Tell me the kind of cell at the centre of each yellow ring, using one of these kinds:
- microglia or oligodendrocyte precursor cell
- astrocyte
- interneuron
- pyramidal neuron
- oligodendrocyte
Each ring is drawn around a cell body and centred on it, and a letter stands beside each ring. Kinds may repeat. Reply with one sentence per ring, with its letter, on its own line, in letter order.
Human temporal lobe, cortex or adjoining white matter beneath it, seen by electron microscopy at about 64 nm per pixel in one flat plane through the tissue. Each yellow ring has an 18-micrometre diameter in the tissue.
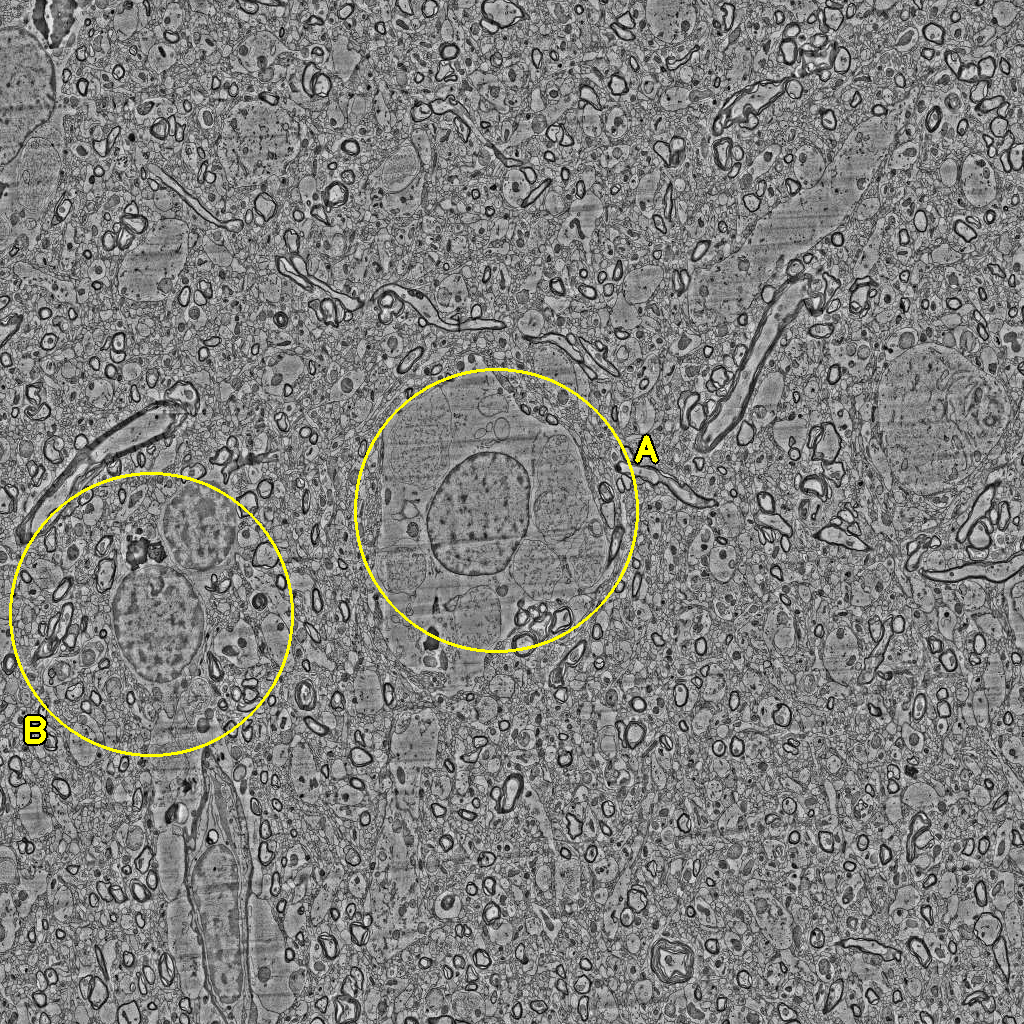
The ring labelled A is centred on an astrocyte.
The ring labelled B is centred on an oligodendrocyte.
